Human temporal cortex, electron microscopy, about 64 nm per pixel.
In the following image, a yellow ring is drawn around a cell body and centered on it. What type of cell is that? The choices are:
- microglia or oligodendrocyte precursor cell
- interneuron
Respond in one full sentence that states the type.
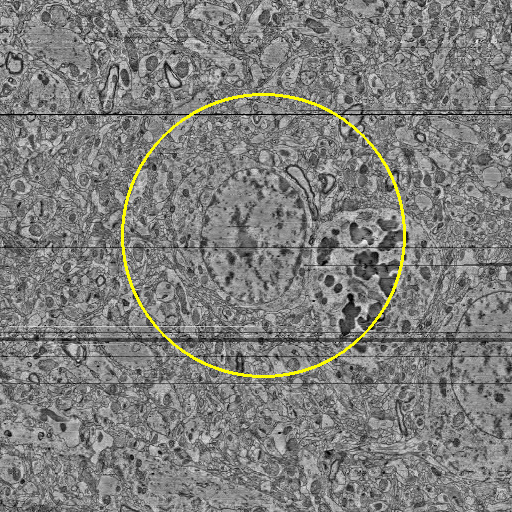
The cell at the center of the yellow ring in the image is an interneuron.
